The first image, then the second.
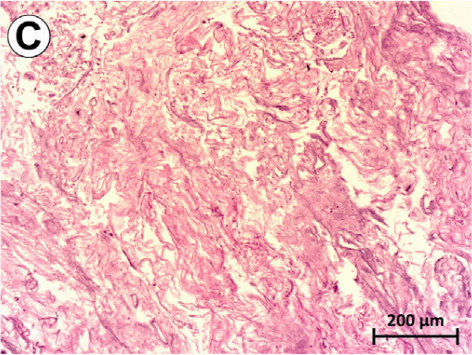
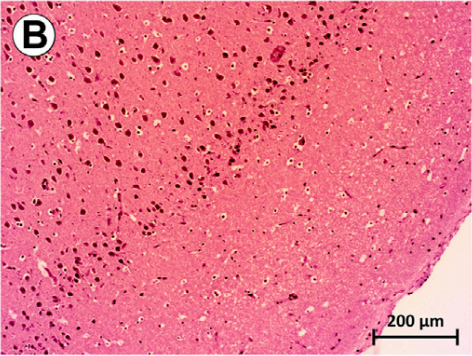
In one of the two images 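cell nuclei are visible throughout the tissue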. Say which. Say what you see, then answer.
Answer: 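The second image. Second image: many dark purple round nuclei scattered over a pink background.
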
